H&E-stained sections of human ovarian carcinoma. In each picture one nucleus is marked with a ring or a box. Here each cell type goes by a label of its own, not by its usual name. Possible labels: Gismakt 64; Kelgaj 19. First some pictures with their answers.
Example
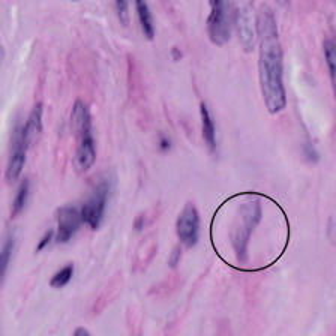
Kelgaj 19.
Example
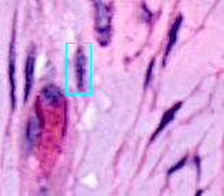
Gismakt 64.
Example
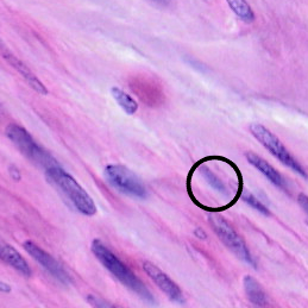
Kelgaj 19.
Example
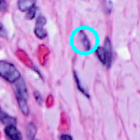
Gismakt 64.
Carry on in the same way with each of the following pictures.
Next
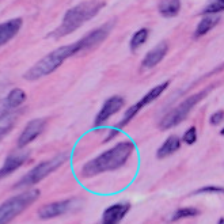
Kelgaj 19.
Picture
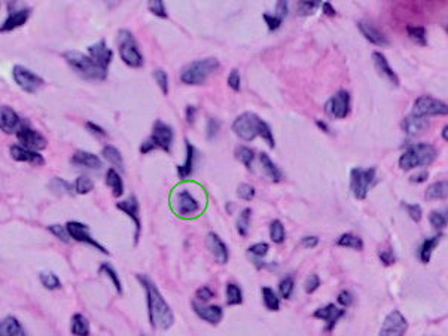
Kelgaj 19.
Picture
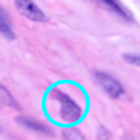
Kelgaj 19.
